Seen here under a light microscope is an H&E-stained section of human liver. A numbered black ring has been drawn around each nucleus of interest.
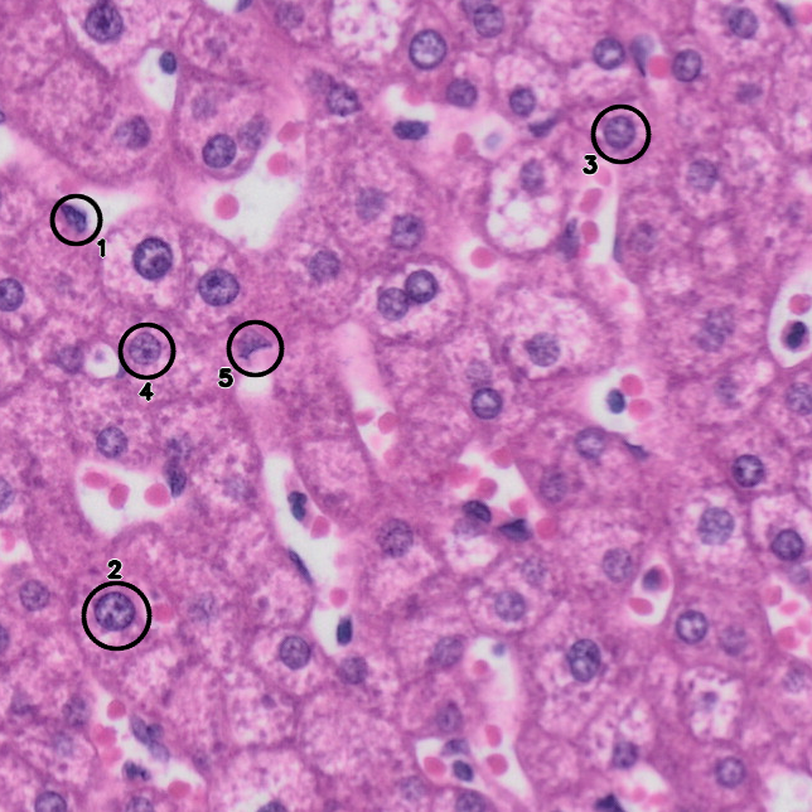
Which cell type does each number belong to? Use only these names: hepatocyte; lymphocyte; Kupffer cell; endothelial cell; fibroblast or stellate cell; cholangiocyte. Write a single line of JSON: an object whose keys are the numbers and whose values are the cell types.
{"1": "endothelial cell", "2": "hepatocyte", "3": "hepatocyte", "4": "hepatocyte", "5": "endothelial cell"}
